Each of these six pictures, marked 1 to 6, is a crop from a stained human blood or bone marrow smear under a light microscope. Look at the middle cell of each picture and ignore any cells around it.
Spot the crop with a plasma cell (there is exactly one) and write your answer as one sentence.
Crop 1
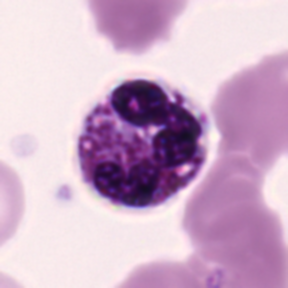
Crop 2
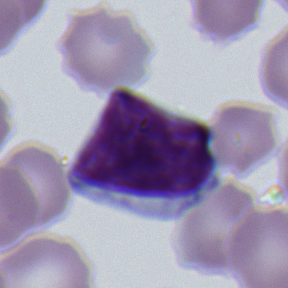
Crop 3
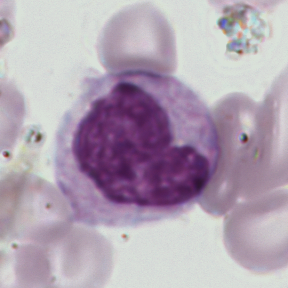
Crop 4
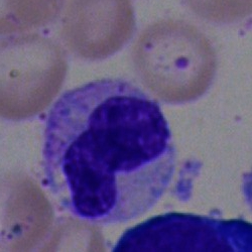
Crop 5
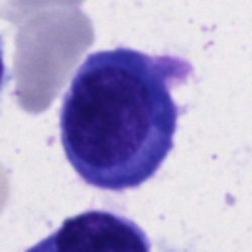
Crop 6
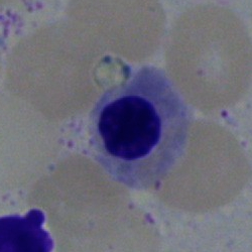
The crop with a plasma cell in it is crop 5.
